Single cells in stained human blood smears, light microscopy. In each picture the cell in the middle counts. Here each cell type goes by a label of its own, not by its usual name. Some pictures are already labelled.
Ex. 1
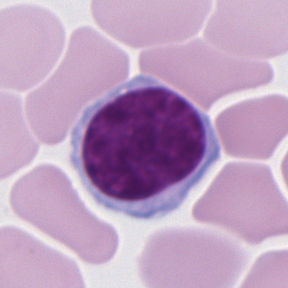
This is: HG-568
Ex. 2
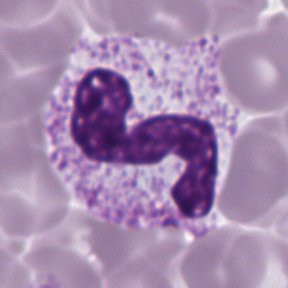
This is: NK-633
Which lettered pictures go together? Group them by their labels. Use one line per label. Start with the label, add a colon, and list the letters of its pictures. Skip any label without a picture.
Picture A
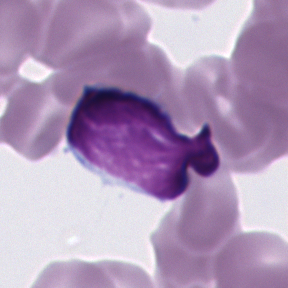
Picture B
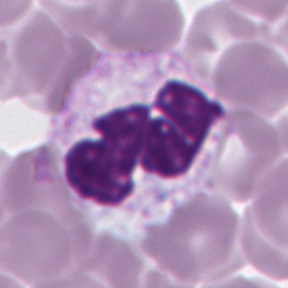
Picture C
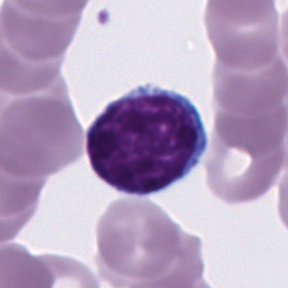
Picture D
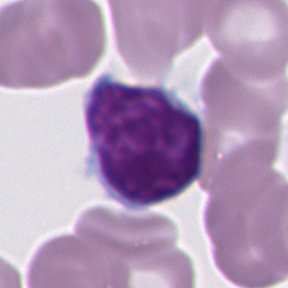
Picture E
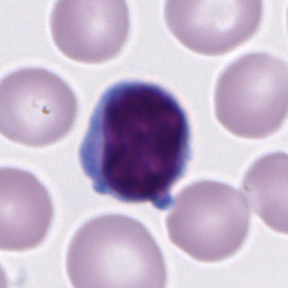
HG-568: A, C, D, E
NK-633: B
